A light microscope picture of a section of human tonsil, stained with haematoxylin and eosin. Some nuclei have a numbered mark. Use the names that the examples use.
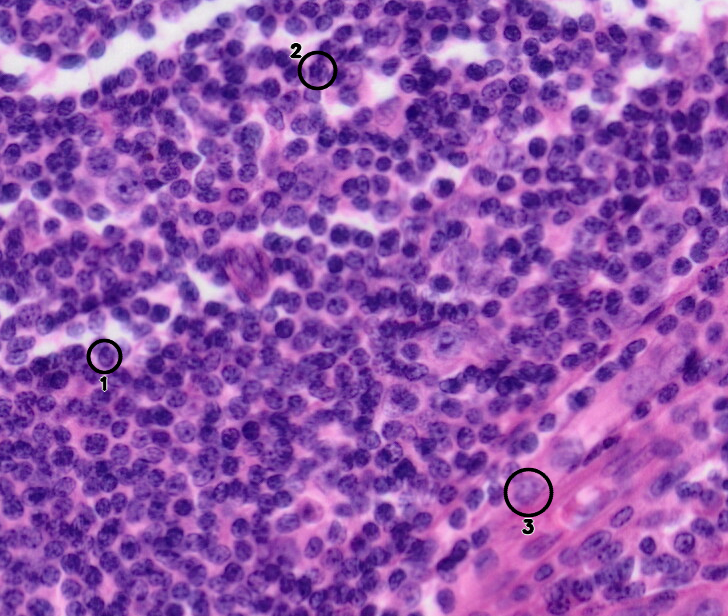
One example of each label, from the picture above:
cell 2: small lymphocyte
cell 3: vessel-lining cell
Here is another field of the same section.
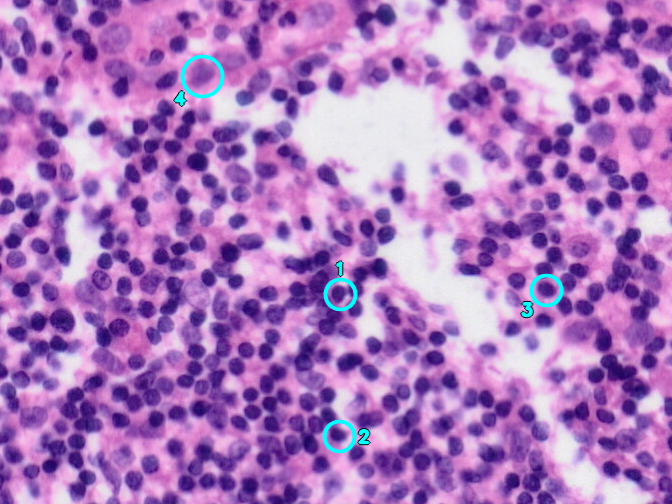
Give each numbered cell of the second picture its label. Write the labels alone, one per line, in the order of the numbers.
small lymphocyte
small lymphocyte
small lymphocyte
vessel-lining cell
